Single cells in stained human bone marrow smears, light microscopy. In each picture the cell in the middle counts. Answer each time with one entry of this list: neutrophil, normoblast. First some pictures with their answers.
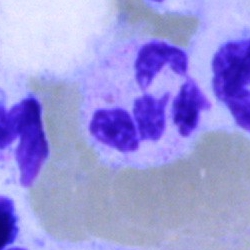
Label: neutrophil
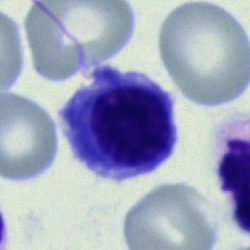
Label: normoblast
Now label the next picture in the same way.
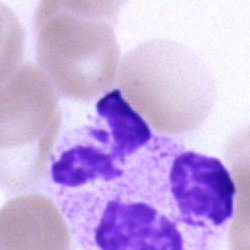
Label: neutrophil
